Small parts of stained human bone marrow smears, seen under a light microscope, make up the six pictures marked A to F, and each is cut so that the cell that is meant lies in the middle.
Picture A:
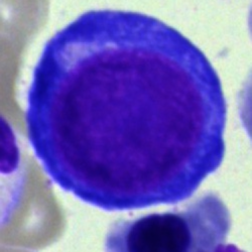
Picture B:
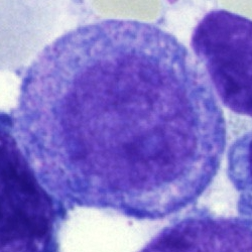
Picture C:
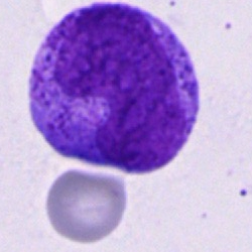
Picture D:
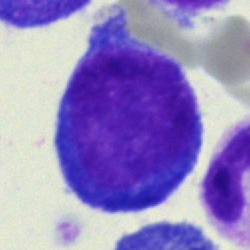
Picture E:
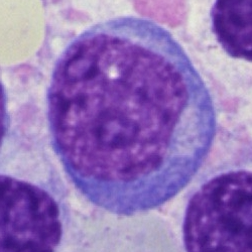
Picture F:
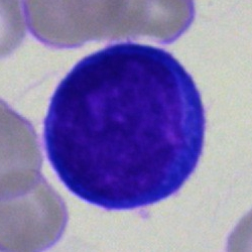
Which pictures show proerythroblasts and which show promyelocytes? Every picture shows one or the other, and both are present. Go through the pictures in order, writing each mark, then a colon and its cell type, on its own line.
A: proerythroblast
B: promyelocyte
C: promyelocyte
D: proerythroblast
E: proerythroblast
F: proerythroblast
